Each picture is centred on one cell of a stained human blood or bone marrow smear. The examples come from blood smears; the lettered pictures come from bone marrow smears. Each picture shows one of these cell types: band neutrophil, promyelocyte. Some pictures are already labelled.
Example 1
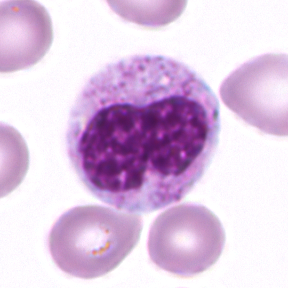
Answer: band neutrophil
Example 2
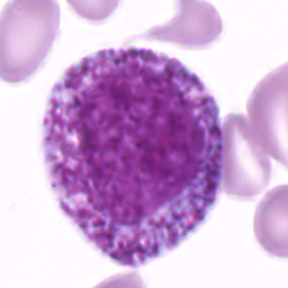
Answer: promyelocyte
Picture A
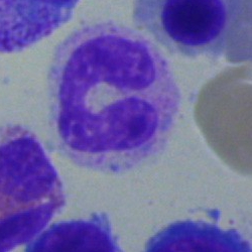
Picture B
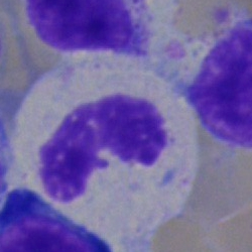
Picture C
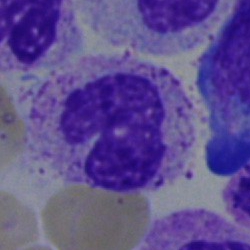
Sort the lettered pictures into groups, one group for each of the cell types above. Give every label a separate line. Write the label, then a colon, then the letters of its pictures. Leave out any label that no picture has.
band neutrophil: A, B, C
